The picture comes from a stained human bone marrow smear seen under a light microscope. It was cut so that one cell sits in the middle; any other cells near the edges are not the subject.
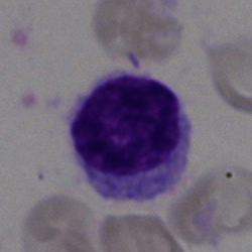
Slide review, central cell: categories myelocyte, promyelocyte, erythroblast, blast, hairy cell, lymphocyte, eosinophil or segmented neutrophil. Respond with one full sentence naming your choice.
The cell in the middle of this crop is a hairy cell.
